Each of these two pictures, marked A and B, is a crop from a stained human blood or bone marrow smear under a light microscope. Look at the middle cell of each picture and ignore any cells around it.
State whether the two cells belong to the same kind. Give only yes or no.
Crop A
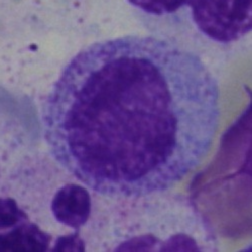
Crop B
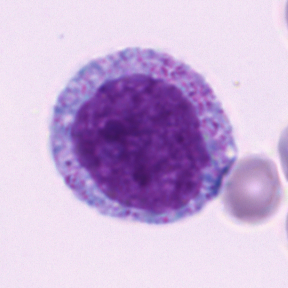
yes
